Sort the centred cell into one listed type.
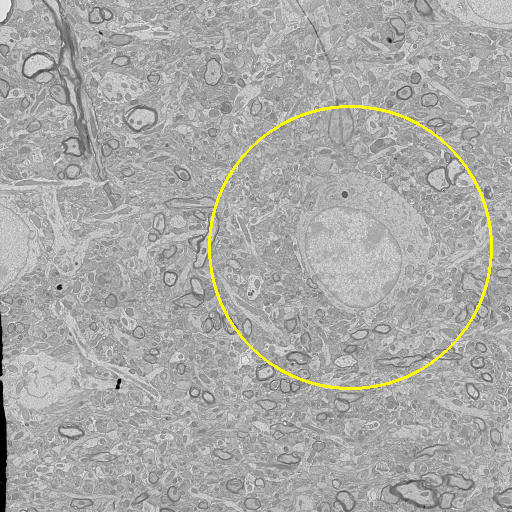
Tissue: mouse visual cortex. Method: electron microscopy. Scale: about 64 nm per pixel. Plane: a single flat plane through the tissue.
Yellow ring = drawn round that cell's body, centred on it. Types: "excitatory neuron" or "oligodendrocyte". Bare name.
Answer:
oligodendrocyte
